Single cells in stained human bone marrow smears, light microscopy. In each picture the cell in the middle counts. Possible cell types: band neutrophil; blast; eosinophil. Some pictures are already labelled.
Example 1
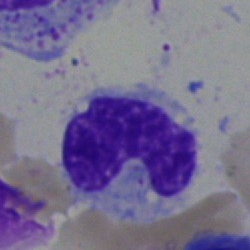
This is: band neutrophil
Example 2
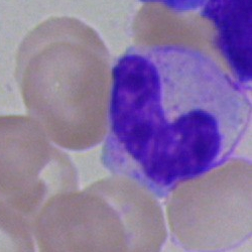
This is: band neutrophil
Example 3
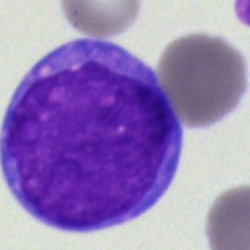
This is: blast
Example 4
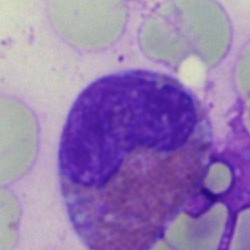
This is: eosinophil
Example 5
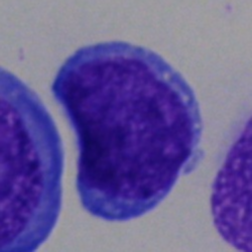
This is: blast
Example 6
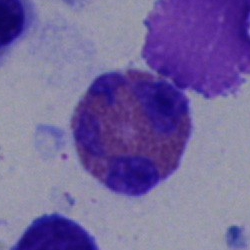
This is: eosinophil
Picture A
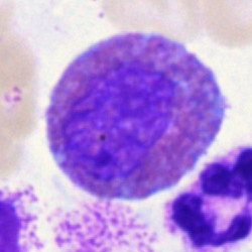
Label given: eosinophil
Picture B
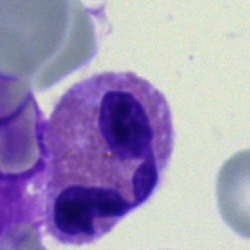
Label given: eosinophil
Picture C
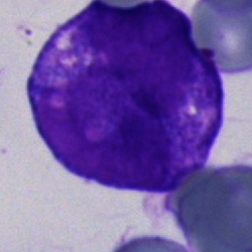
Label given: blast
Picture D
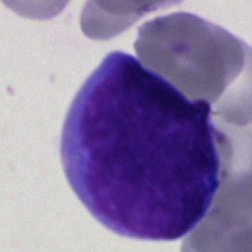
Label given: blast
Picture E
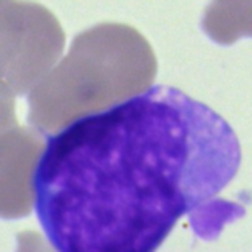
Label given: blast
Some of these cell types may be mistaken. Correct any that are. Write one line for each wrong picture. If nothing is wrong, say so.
Every label is right.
